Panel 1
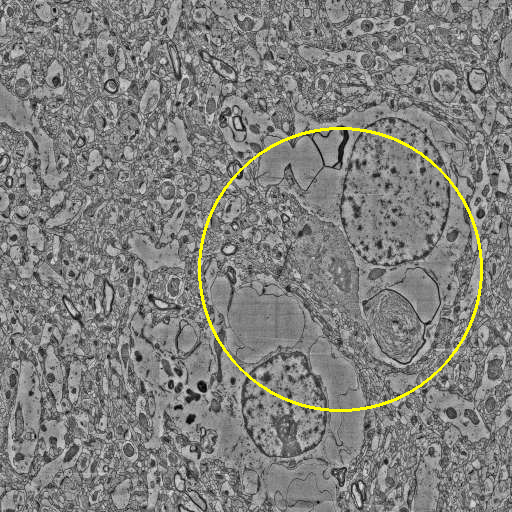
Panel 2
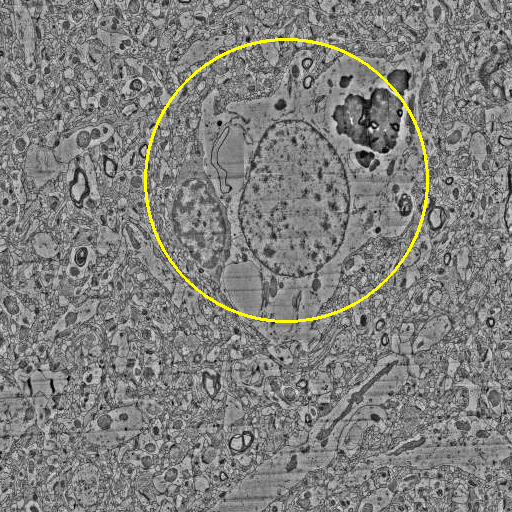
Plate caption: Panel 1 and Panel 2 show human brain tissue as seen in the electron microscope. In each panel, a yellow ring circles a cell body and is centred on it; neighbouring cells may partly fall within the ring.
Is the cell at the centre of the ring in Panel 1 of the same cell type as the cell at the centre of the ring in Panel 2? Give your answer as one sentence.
No, the two cells are of two types.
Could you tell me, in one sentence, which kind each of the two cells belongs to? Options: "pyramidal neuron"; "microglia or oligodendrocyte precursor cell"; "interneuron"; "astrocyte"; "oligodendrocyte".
At the centre of the first ring sits an oligodendrocyte, and at the centre of the second sits an astrocyte.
